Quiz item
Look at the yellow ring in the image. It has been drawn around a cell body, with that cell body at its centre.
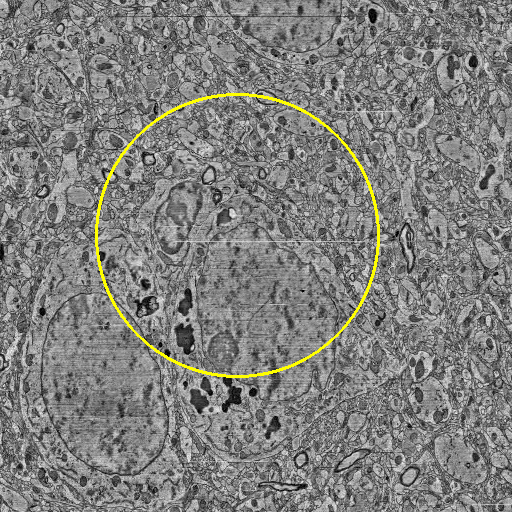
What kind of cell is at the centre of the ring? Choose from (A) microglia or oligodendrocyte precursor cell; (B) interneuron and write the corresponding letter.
B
